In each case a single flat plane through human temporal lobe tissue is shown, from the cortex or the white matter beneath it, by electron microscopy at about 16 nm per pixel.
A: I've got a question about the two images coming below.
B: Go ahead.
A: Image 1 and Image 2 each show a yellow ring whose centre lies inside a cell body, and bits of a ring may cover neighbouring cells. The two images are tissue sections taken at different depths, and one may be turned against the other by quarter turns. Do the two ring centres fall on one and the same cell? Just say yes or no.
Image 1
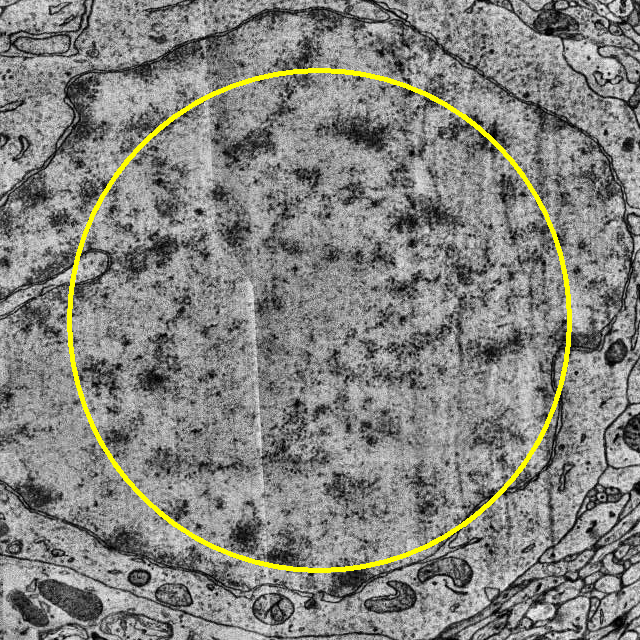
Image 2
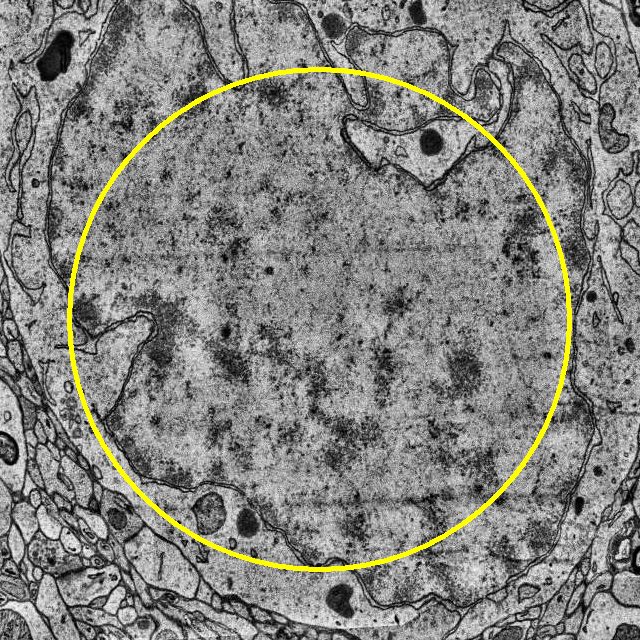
yes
